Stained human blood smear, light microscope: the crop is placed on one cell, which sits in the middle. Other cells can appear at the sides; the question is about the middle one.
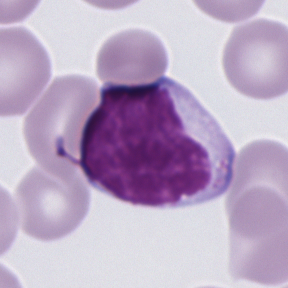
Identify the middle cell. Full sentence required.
Centrally within this crop lies a large granular lymphocyte.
